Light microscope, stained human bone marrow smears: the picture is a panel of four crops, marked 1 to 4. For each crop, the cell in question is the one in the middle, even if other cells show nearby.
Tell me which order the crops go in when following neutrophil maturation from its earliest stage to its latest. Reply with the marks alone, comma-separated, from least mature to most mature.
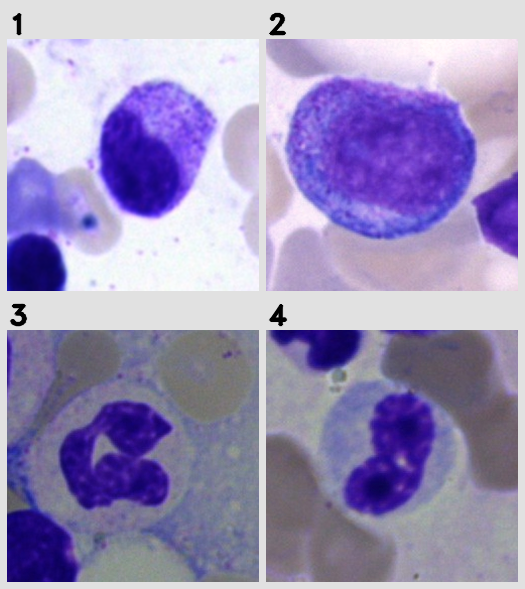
2, 1, 4, 3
